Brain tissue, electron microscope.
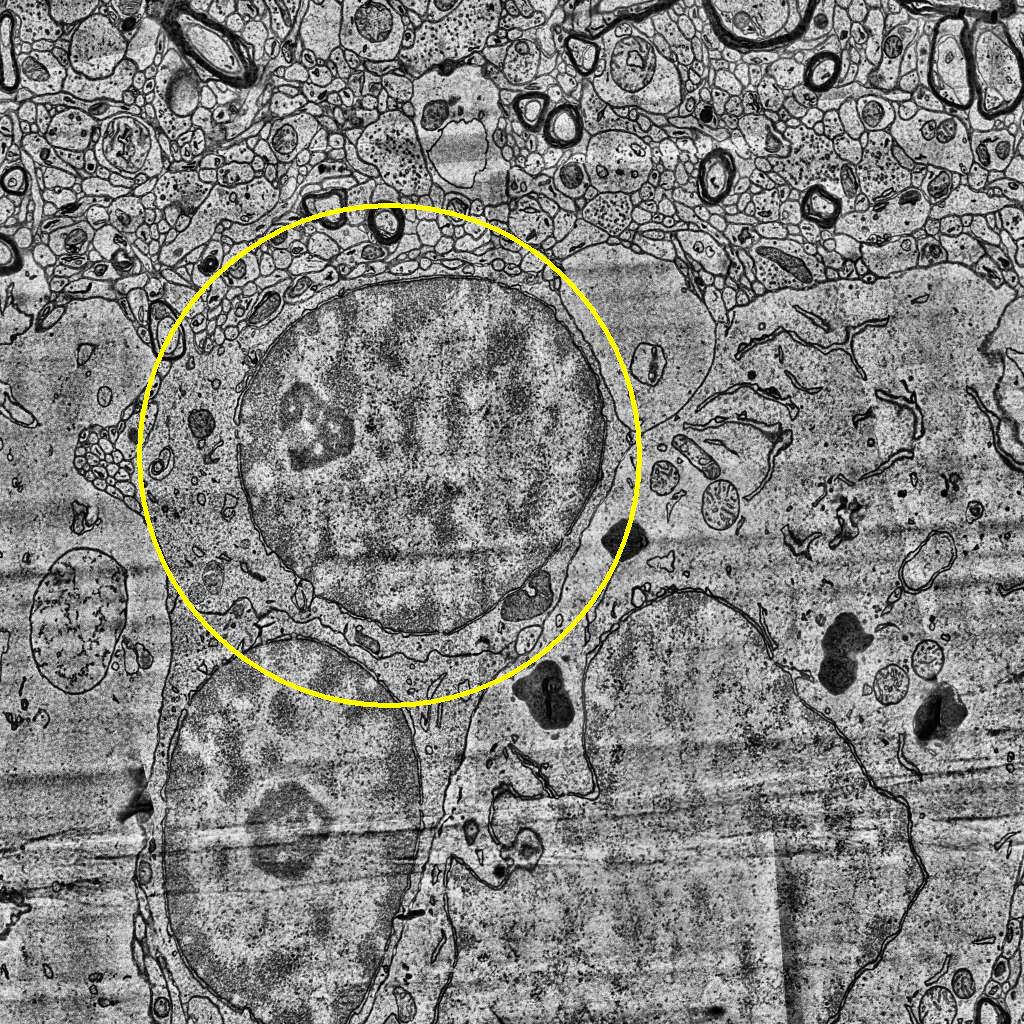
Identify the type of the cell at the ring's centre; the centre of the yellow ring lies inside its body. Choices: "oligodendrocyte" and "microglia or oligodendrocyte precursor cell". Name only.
oligodendrocyte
